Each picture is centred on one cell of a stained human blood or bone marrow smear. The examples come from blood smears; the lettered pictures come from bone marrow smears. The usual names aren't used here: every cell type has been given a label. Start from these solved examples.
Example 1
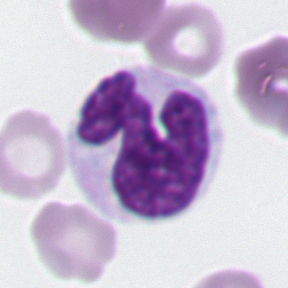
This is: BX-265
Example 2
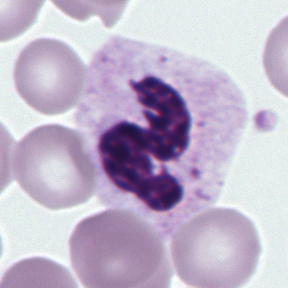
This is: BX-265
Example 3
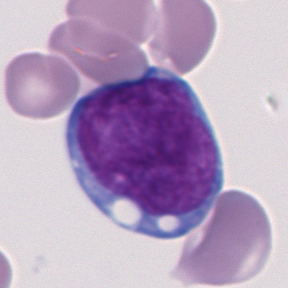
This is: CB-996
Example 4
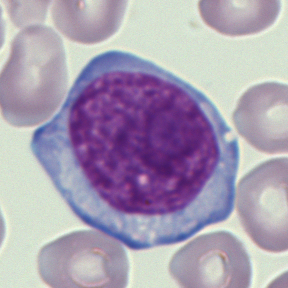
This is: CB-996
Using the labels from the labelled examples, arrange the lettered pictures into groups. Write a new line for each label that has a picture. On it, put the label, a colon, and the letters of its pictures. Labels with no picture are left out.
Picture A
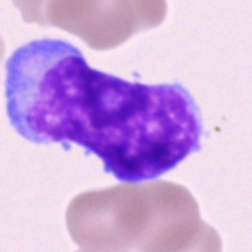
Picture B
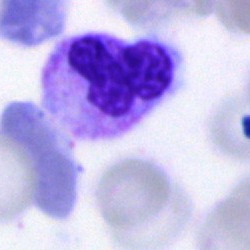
BX-265: B
CB-996: A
